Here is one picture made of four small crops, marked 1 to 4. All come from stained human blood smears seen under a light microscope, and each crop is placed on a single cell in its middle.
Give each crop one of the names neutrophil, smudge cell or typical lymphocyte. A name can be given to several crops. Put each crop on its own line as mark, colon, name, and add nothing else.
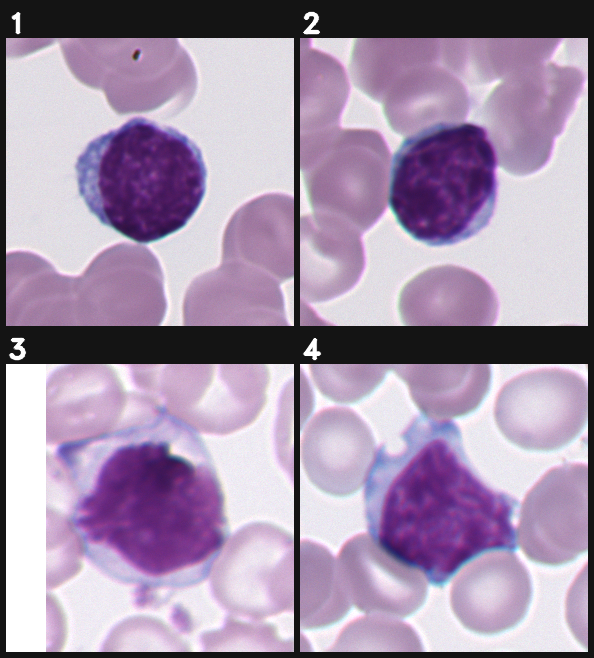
1: typical lymphocyte
2: typical lymphocyte
3: typical lymphocyte
4: typical lymphocyte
